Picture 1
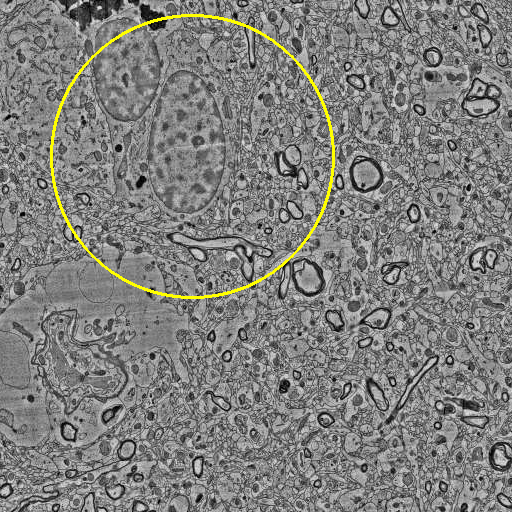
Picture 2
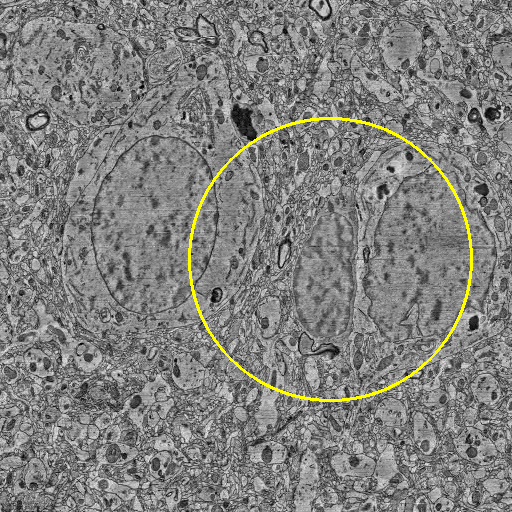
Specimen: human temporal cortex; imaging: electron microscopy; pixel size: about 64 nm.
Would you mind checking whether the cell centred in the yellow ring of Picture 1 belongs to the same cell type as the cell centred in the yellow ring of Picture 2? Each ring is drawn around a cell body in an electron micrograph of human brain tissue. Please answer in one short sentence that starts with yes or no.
Yes, both cells are of the same type.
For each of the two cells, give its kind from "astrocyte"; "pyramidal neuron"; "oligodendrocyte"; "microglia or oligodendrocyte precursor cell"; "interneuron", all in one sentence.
In both pictures the ring is centred on an oligodendrocyte.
